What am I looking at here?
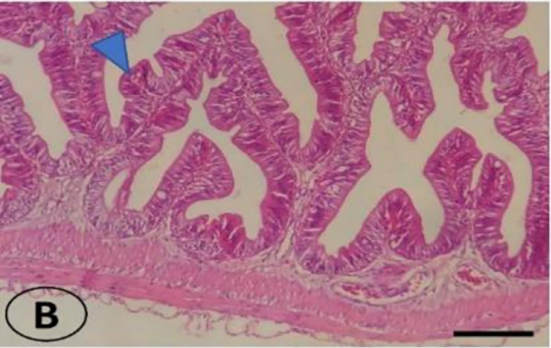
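This is the intestinal mucosa with tall villi that branch into several secondary folds and fill much of the lumen. The villi are covered by pink columnar epithelium with nuclei in rows, around pale connective tissue cores. A thin submucosa and a pink layer of smooth muscle lie at the base.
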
